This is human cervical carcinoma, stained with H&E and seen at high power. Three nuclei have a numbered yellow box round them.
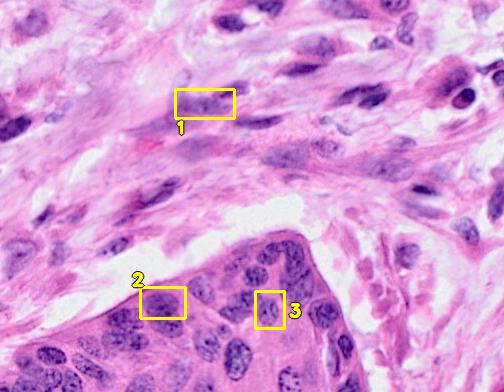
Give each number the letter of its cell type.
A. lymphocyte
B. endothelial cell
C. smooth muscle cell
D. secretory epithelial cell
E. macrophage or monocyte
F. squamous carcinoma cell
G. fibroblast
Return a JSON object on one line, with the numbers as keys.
{"1": "G", "2": "F", "3": "F"}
